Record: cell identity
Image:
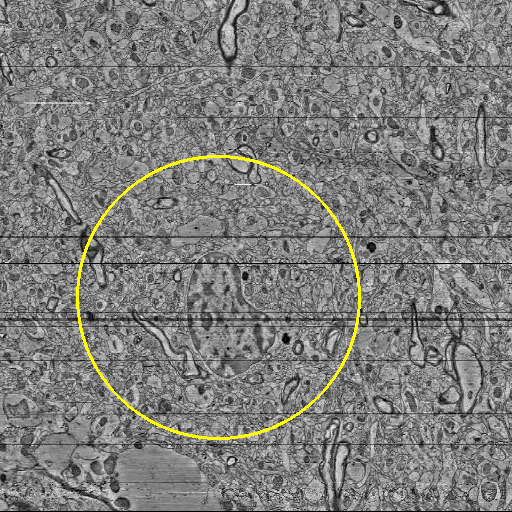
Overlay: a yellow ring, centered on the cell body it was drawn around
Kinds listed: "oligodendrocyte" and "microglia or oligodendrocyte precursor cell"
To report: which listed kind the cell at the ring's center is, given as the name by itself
microglia or oligodendrocyte precursor cell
